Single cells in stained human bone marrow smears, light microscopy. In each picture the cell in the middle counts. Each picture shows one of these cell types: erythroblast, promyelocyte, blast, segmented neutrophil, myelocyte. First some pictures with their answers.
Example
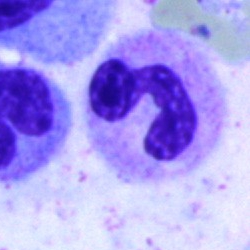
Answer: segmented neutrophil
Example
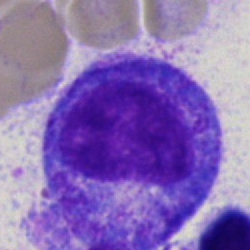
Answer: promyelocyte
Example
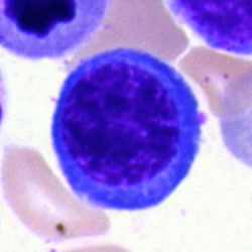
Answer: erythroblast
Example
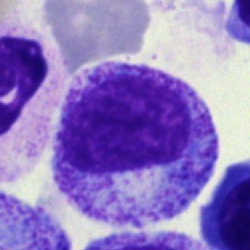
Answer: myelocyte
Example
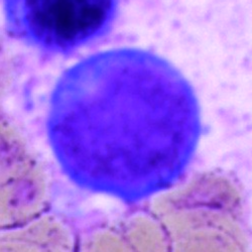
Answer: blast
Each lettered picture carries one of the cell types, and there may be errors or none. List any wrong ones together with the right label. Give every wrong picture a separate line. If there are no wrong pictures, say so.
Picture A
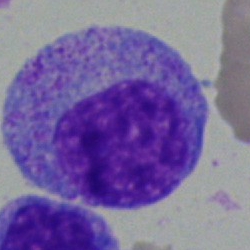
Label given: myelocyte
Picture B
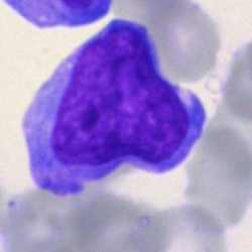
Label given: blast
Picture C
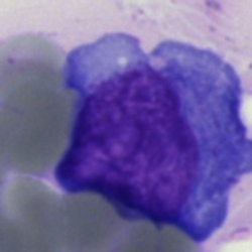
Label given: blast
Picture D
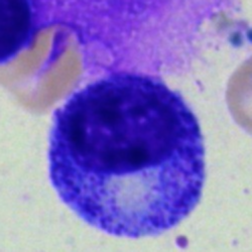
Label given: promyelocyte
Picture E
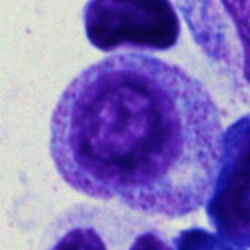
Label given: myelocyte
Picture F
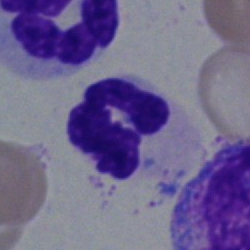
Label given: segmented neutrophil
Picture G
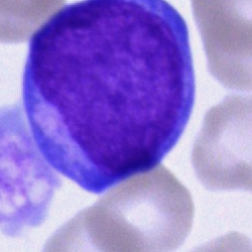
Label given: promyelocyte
G: blast, not promyelocyte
